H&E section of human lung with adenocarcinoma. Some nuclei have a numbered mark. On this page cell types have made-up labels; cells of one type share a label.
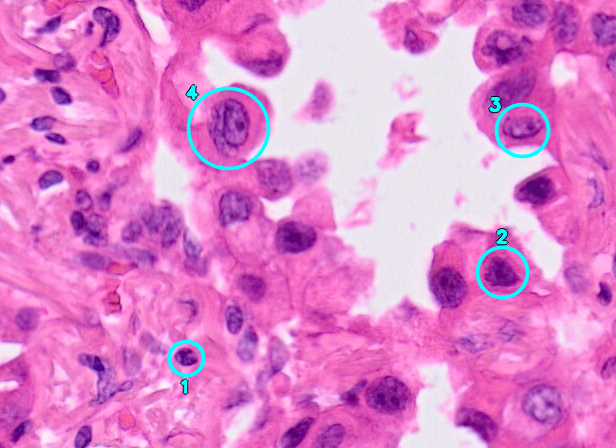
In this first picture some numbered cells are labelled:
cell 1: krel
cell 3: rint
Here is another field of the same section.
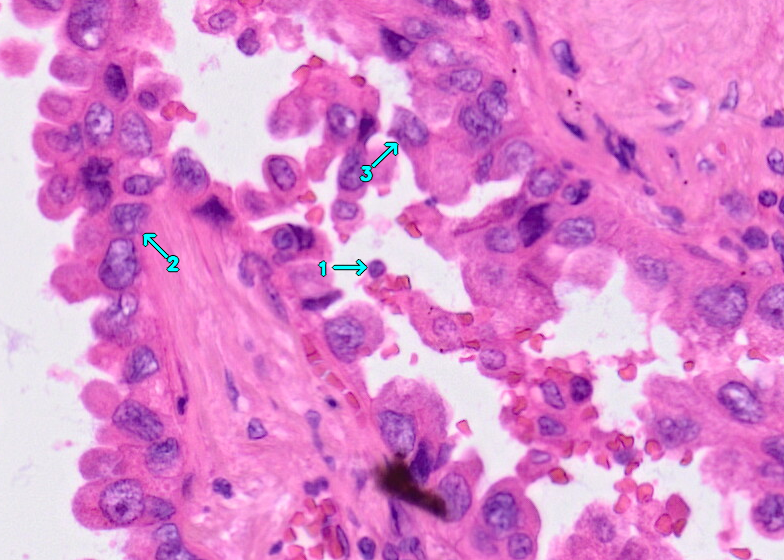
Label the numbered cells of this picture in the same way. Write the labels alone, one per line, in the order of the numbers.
krel
rint
rint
